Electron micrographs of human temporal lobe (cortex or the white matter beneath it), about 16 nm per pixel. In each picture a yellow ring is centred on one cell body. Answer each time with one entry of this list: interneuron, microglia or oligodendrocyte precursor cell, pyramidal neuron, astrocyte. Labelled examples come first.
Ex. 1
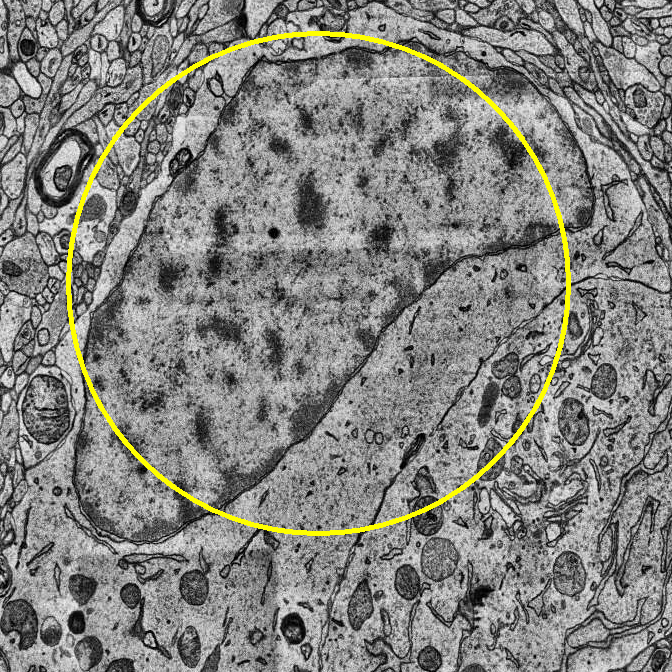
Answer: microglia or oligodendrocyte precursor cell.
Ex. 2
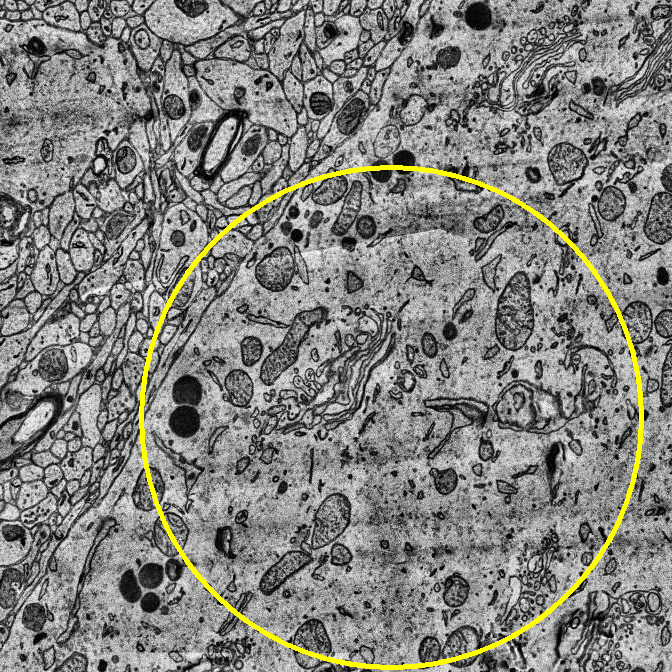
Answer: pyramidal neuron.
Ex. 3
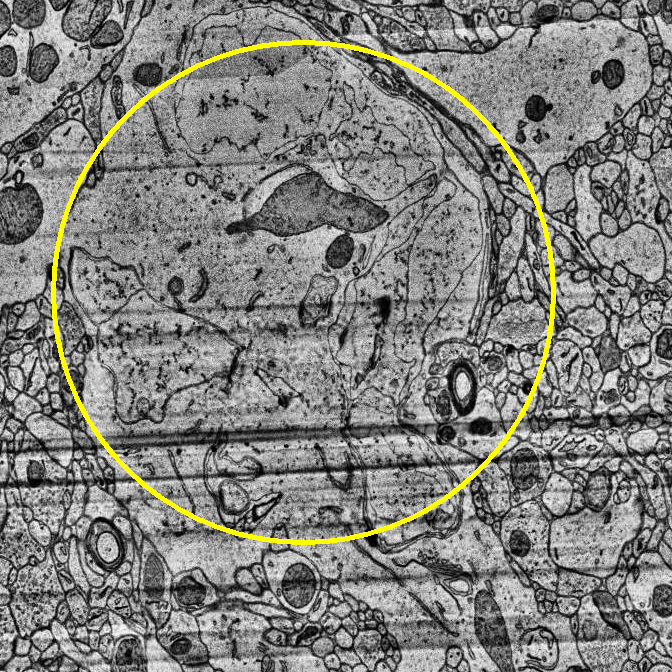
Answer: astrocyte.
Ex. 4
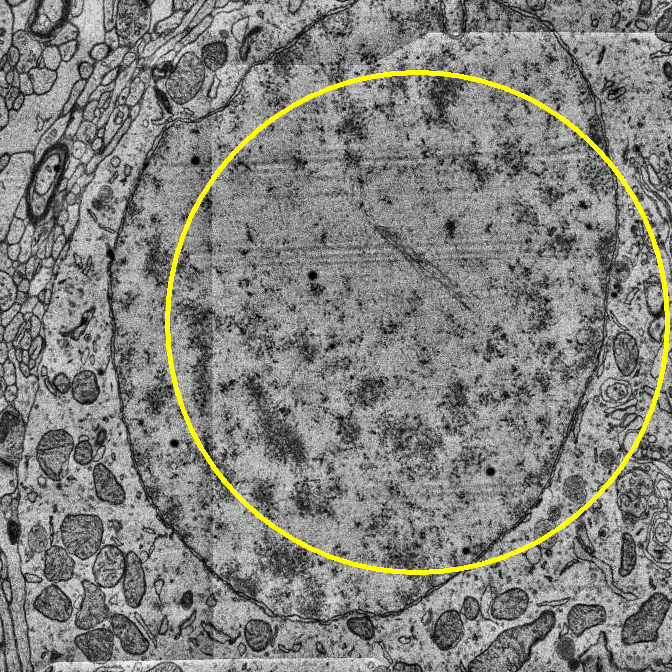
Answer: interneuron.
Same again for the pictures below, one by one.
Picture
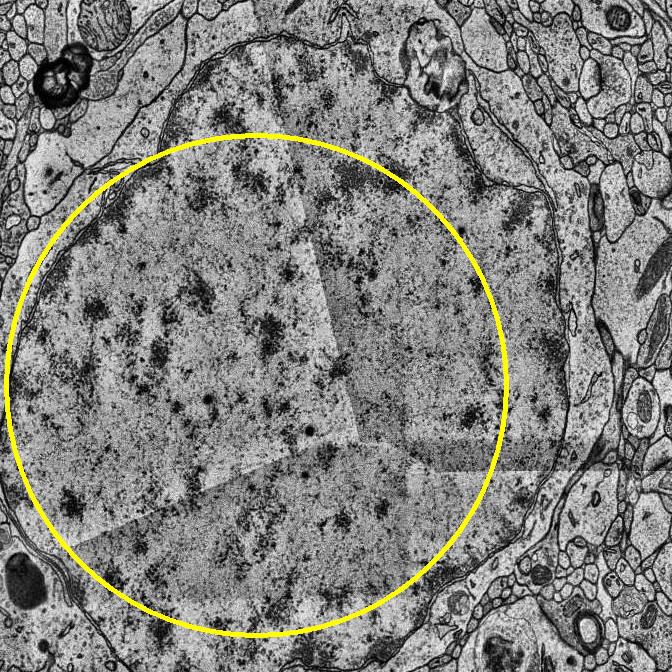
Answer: interneuron.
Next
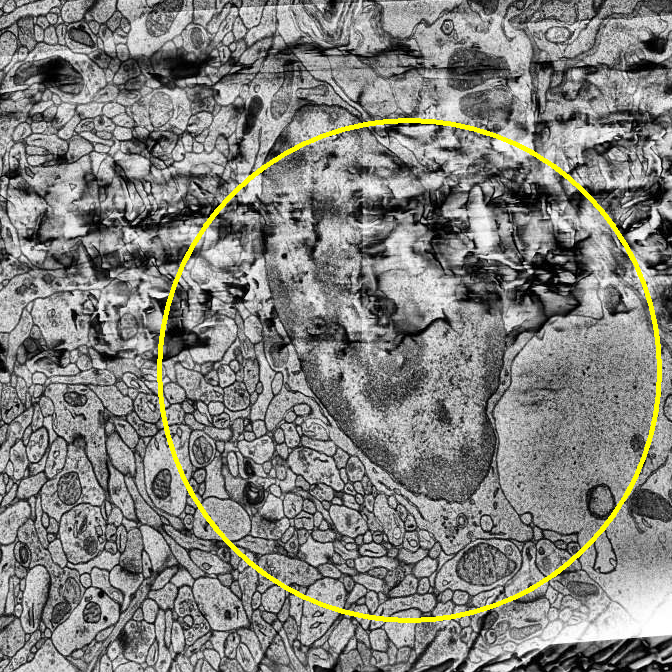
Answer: microglia or oligodendrocyte precursor cell.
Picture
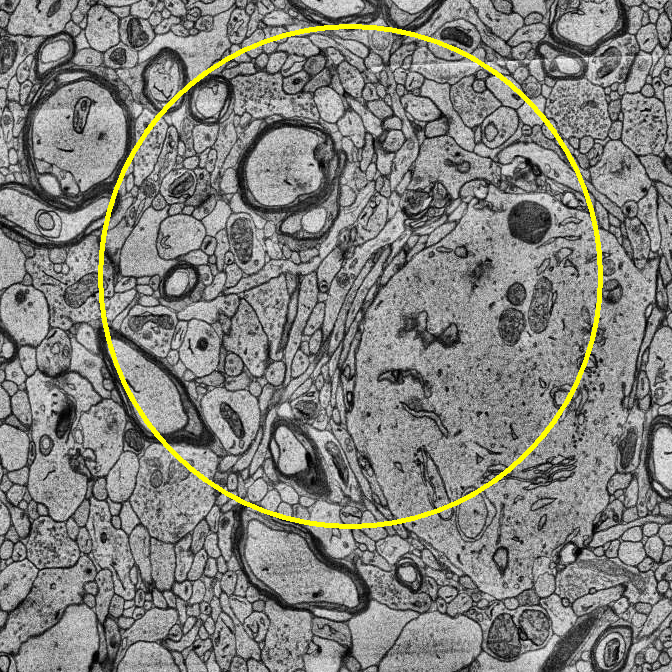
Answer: microglia or oligodendrocyte precursor cell.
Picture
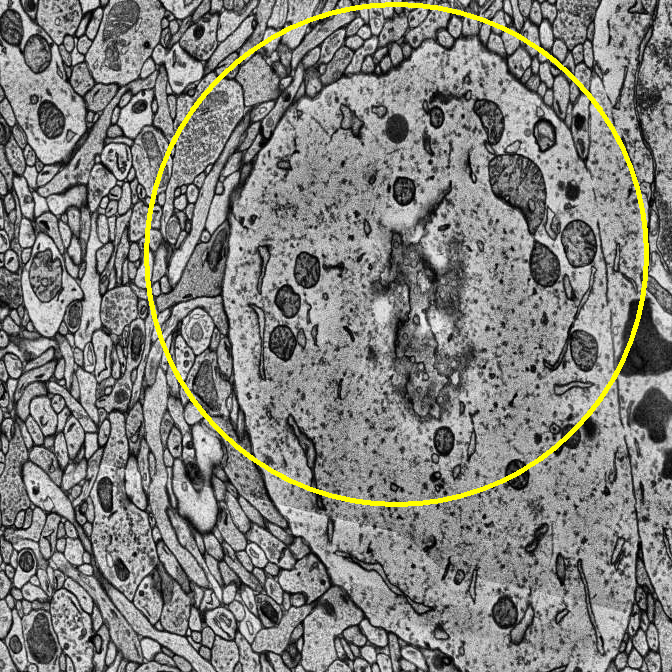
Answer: pyramidal neuron.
